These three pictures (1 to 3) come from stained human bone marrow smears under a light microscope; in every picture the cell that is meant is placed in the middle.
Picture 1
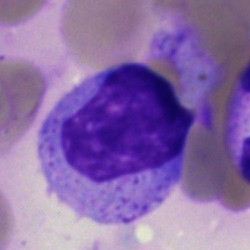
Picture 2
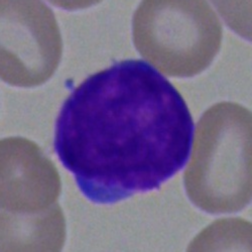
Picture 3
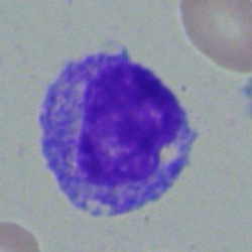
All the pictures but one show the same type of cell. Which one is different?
2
